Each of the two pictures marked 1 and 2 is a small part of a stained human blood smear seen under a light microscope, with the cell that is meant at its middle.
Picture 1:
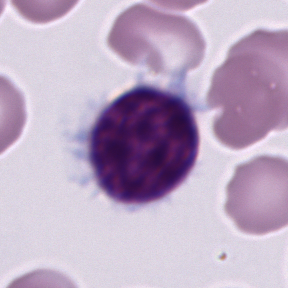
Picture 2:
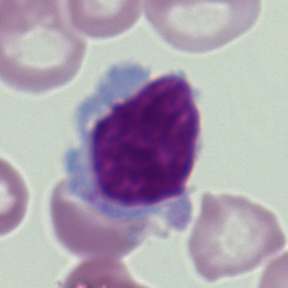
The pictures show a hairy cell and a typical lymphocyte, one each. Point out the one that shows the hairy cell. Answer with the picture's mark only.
1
